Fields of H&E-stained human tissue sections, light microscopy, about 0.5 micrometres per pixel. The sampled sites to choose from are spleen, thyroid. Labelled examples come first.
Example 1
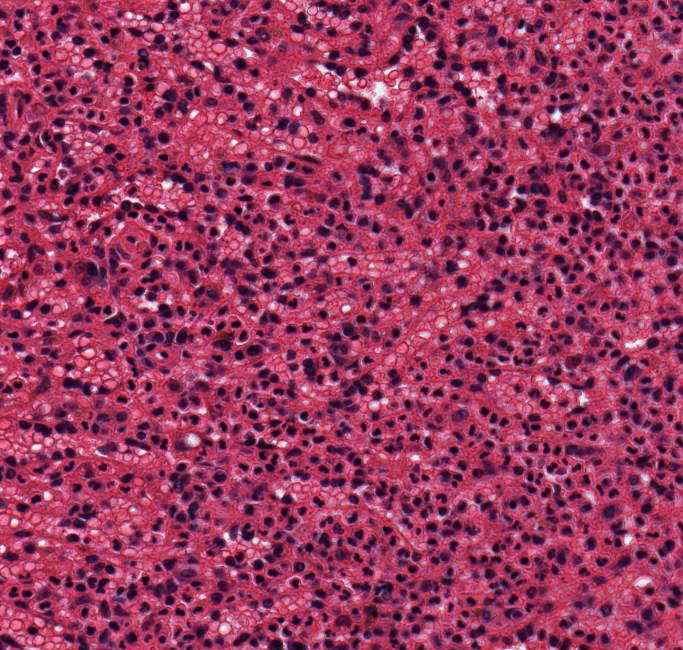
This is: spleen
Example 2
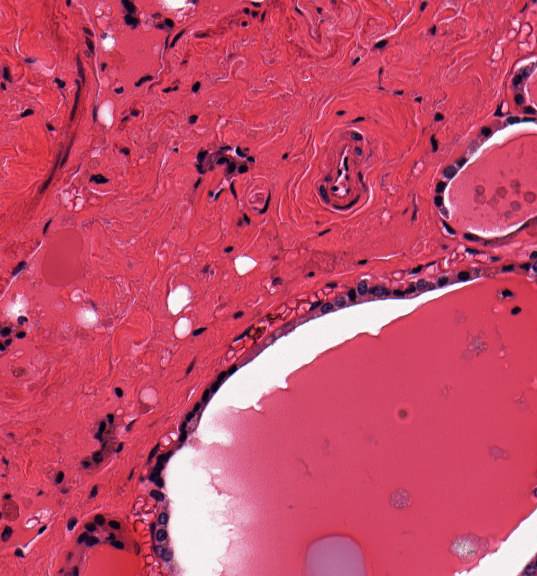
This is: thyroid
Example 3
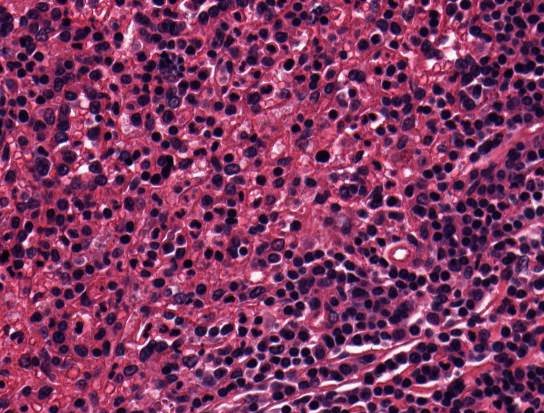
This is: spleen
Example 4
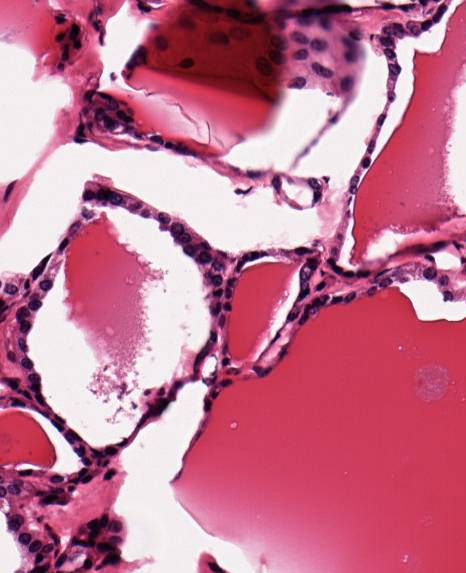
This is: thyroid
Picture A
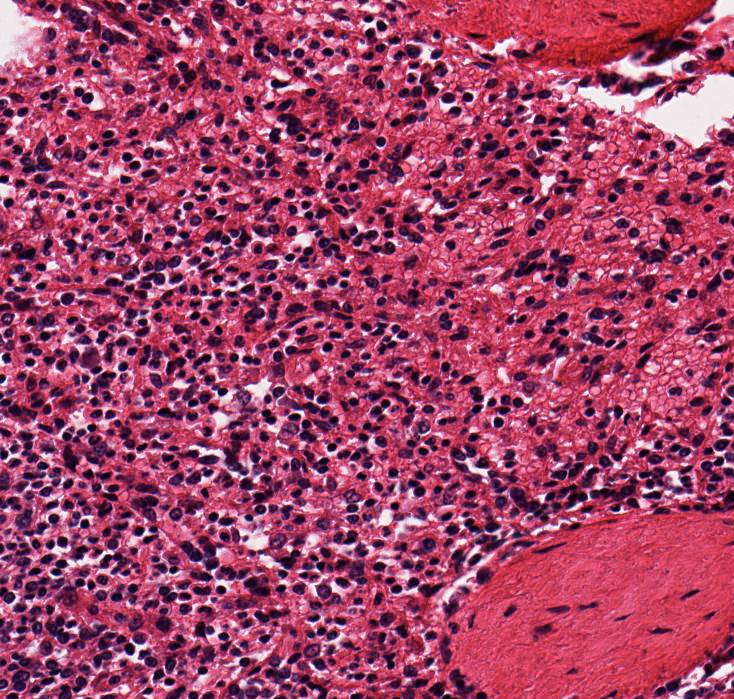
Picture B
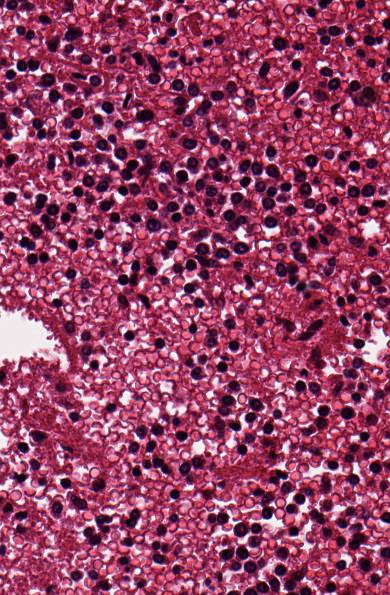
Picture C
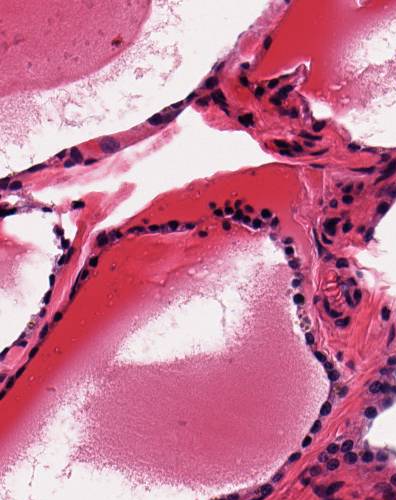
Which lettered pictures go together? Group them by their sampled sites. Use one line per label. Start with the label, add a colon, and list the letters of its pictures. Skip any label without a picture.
spleen: A, B
thyroid: C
